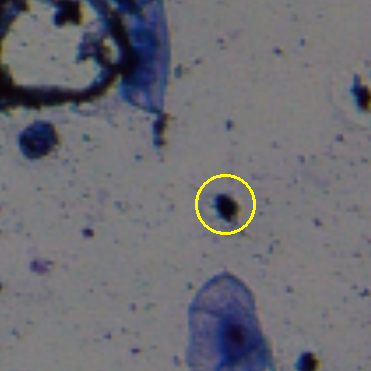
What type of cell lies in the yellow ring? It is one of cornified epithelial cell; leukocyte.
The ringed cell is a leukocyte.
